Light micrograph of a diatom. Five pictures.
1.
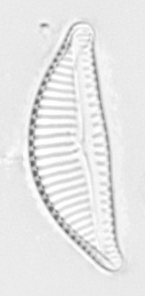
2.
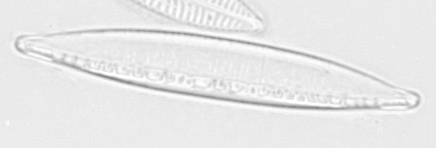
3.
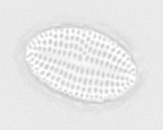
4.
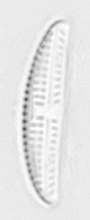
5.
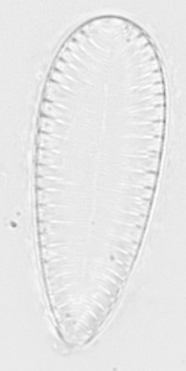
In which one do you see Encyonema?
In picture 1.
